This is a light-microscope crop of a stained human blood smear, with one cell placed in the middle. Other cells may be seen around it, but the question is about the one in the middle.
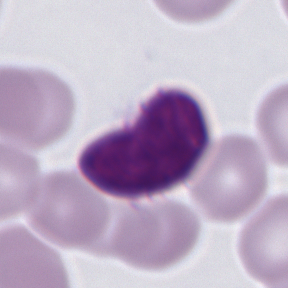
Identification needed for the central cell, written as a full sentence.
The cell occupying the middle of the crop is a smudge cell.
